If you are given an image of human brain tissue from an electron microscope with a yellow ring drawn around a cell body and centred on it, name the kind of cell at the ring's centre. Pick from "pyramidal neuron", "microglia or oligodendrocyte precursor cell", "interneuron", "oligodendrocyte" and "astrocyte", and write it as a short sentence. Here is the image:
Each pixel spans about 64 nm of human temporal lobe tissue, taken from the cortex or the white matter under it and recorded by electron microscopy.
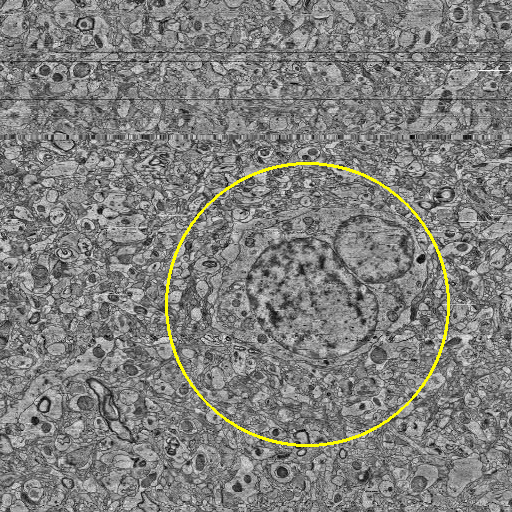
The cell at the ring's centre is an interneuron.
